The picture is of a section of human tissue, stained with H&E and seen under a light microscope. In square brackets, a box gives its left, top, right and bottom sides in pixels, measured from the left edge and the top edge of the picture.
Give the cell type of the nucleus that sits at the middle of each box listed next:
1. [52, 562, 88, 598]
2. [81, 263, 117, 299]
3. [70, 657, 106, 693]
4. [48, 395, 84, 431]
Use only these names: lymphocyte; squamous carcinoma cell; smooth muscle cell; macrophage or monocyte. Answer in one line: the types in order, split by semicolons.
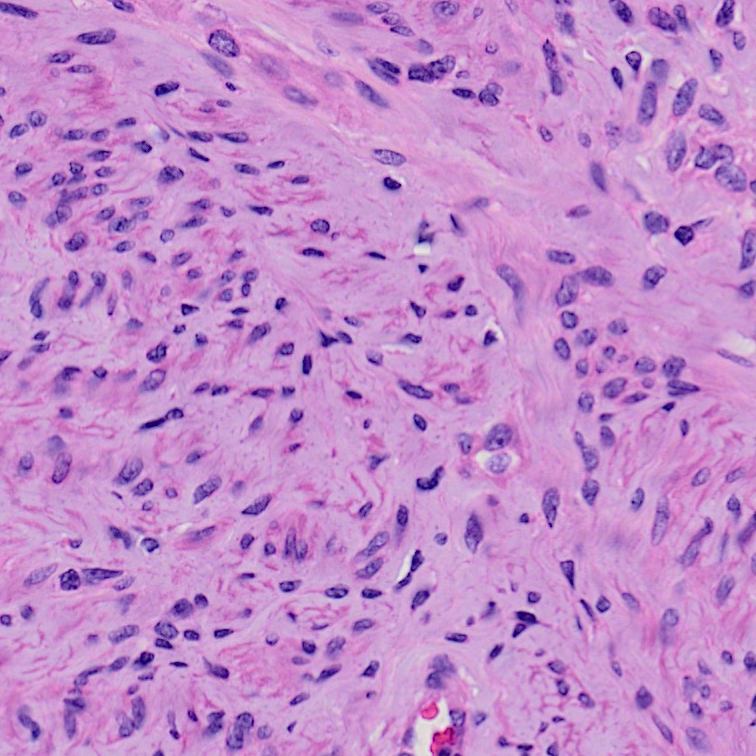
lymphocyte; smooth muscle cell; smooth muscle cell; smooth muscle cell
